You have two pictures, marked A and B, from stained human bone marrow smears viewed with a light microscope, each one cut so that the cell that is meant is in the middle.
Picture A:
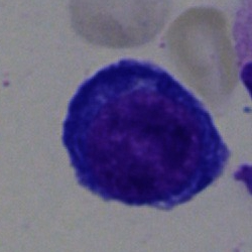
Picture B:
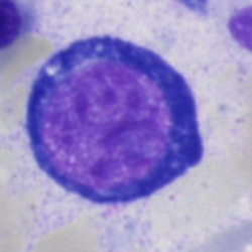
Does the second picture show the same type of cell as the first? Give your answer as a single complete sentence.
Yes, the two pictures both show proerythroblasts.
